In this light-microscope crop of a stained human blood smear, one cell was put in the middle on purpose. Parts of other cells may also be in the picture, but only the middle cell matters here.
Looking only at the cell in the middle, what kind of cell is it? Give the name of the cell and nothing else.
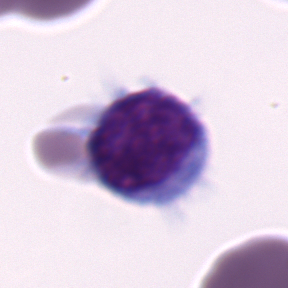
hairy cell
